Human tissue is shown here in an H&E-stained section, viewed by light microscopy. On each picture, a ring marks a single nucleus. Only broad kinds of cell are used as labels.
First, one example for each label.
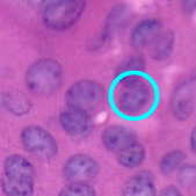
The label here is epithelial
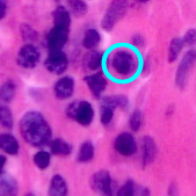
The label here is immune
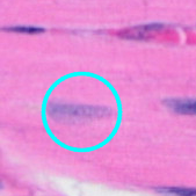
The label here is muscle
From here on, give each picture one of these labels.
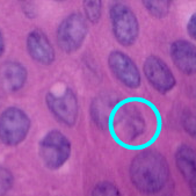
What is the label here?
epithelial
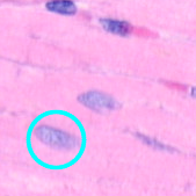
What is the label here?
muscle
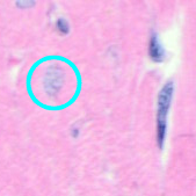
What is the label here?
muscle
